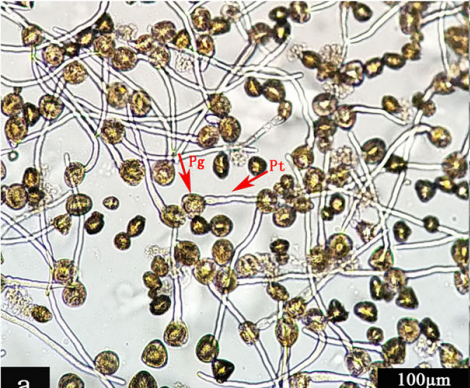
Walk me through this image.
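Many pollen grains lie scattered on a pale background, most of them round with dark, golden-brown granular contents. From a large share of the grains long, thin, transparent pollen tubes grow out and wind across the field, crossing one another.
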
